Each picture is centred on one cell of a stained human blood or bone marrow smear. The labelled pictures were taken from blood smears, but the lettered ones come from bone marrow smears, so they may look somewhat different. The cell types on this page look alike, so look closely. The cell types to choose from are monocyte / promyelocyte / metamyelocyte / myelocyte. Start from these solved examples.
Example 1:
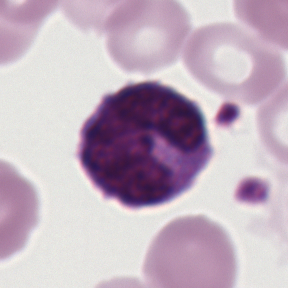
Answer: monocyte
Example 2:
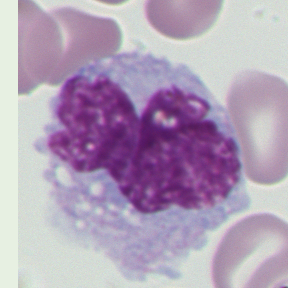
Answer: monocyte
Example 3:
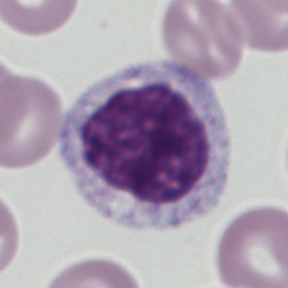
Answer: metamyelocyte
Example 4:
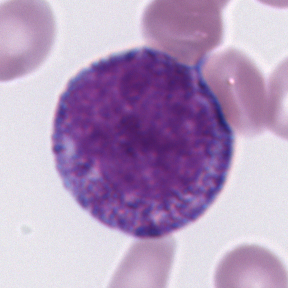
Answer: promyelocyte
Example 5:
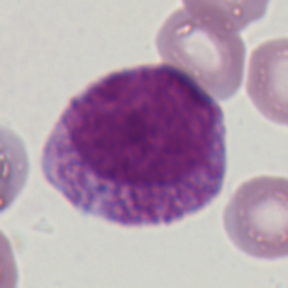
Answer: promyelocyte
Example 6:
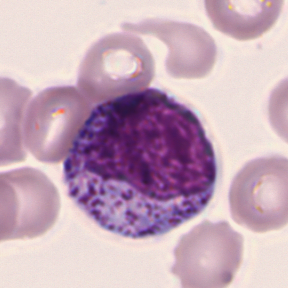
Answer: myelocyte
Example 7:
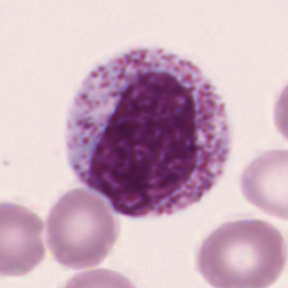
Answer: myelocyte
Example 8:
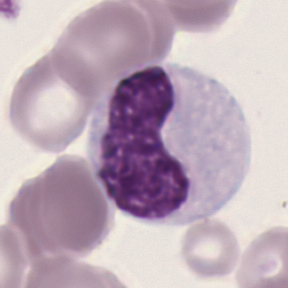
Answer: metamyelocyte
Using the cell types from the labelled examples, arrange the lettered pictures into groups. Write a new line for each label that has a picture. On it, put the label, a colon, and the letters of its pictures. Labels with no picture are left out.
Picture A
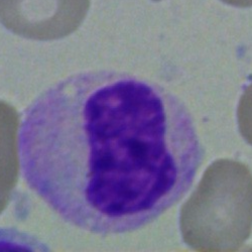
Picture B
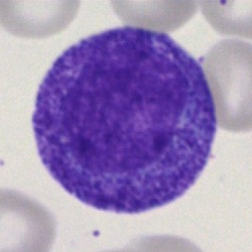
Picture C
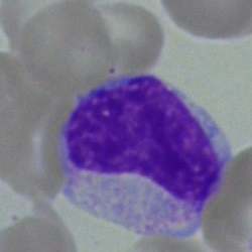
promyelocyte: B
metamyelocyte: A, C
